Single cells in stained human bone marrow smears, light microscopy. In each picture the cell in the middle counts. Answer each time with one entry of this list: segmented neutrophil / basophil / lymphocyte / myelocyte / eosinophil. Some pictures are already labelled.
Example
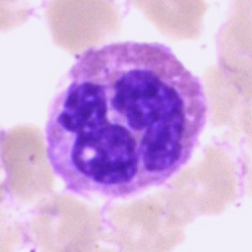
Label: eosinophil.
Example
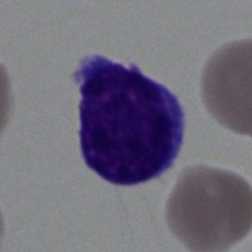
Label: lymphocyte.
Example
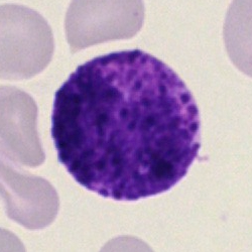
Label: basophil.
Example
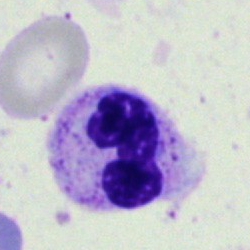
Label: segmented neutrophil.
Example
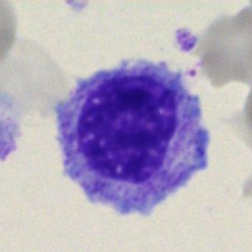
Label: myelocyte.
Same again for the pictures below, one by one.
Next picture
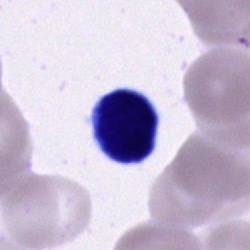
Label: lymphocyte.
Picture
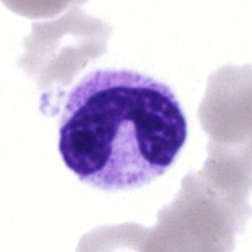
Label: segmented neutrophil.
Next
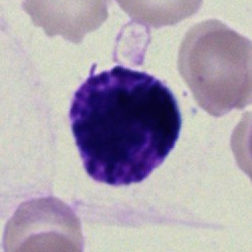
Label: basophil.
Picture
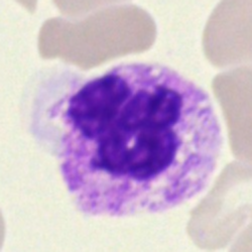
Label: segmented neutrophil.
